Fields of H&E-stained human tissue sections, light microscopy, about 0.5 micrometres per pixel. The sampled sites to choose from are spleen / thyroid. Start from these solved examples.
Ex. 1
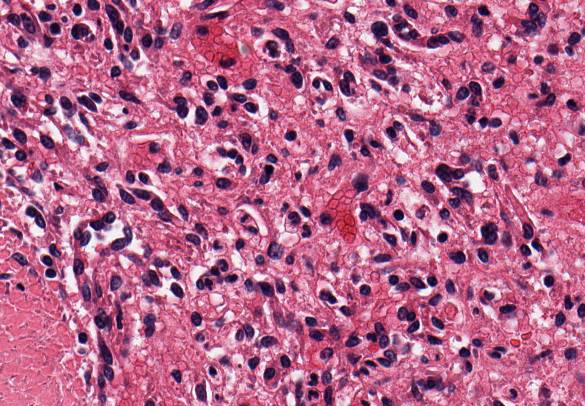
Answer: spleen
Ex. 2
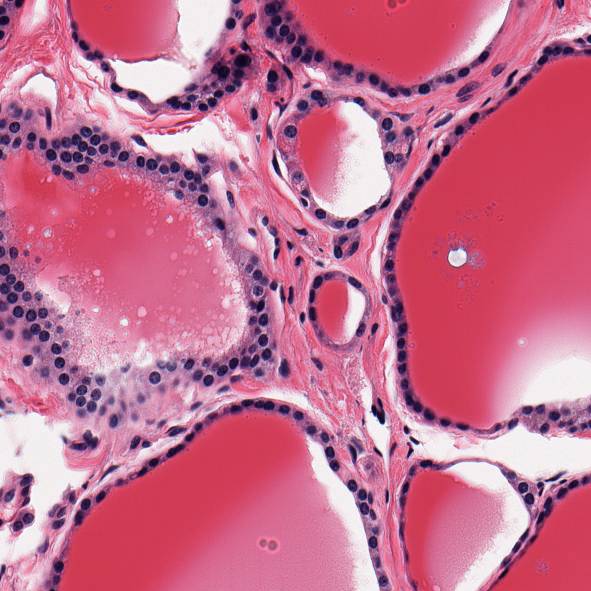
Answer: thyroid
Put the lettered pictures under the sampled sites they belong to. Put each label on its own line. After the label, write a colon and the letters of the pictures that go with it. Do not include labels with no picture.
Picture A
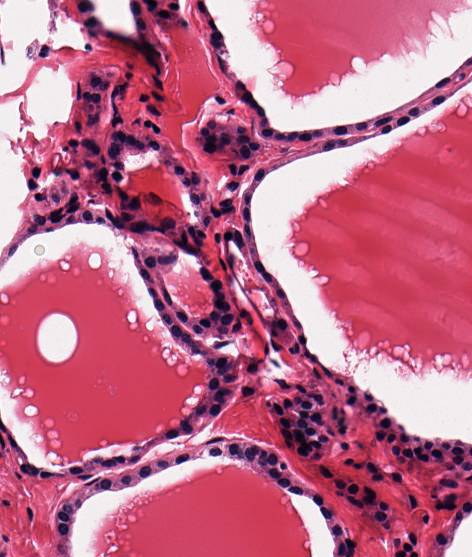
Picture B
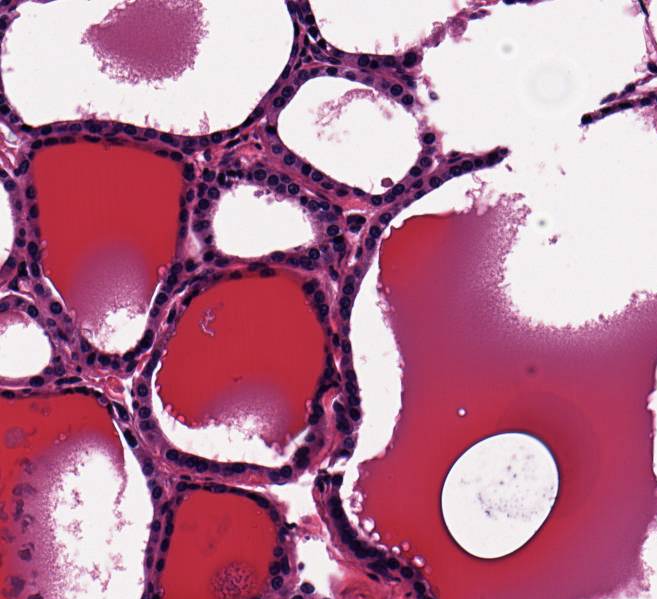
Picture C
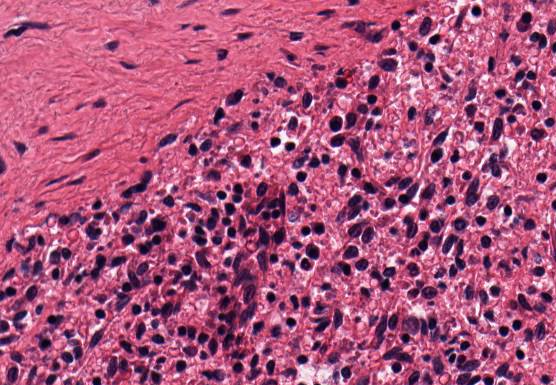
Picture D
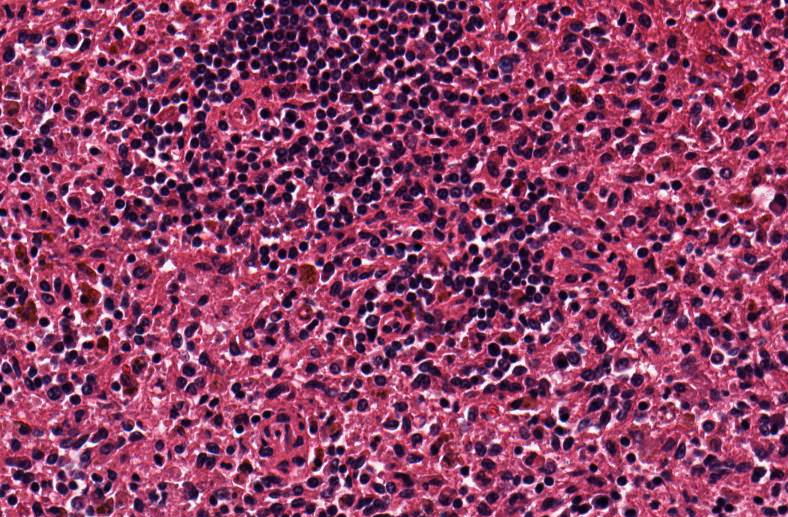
spleen: C, D
thyroid: A, B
